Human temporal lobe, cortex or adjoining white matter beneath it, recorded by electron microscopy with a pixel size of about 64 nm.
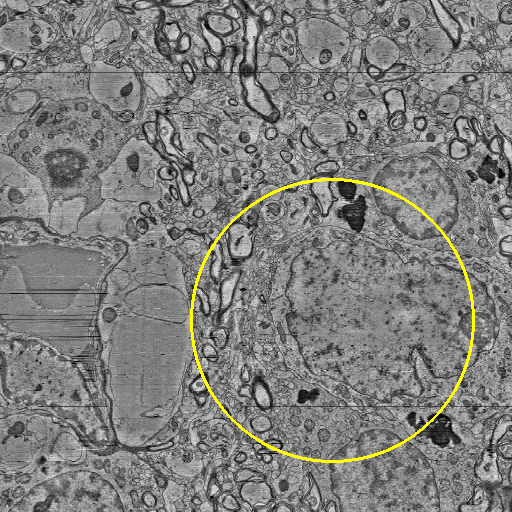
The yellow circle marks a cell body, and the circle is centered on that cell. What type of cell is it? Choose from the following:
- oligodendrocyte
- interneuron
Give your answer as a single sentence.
This cell body belongs to an interneuron.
